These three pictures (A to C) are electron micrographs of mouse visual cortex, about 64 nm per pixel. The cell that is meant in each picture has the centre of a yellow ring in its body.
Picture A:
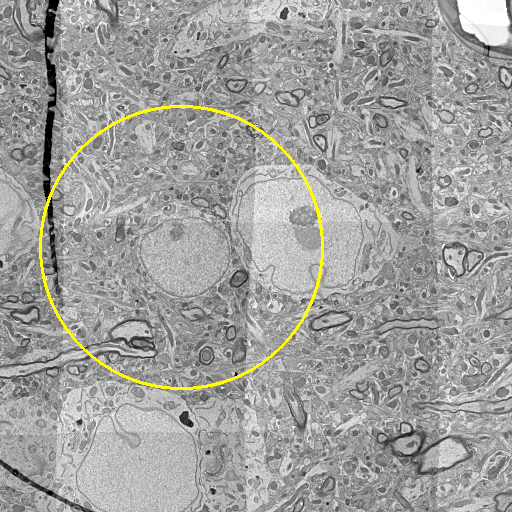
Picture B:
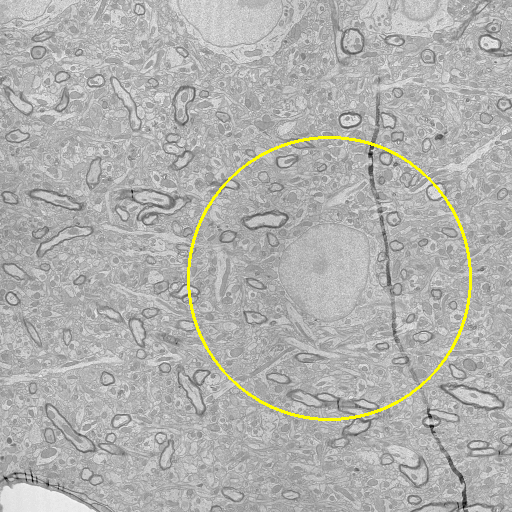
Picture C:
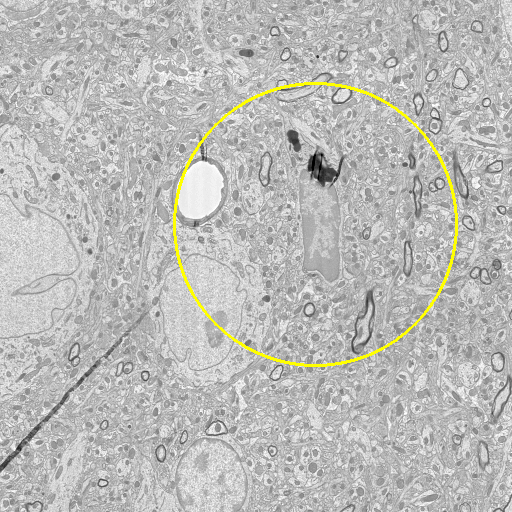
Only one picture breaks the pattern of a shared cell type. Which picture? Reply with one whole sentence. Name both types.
Unlike the rest, which show astrocytes, picture C shows a microglial cell.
